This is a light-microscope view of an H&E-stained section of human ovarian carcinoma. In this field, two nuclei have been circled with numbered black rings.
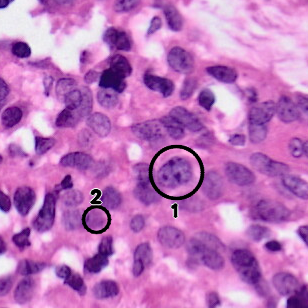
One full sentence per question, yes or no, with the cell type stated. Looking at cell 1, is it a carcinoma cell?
No, not a carcinoma cell: the cell with number 1 is a macrophage or monocyte.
